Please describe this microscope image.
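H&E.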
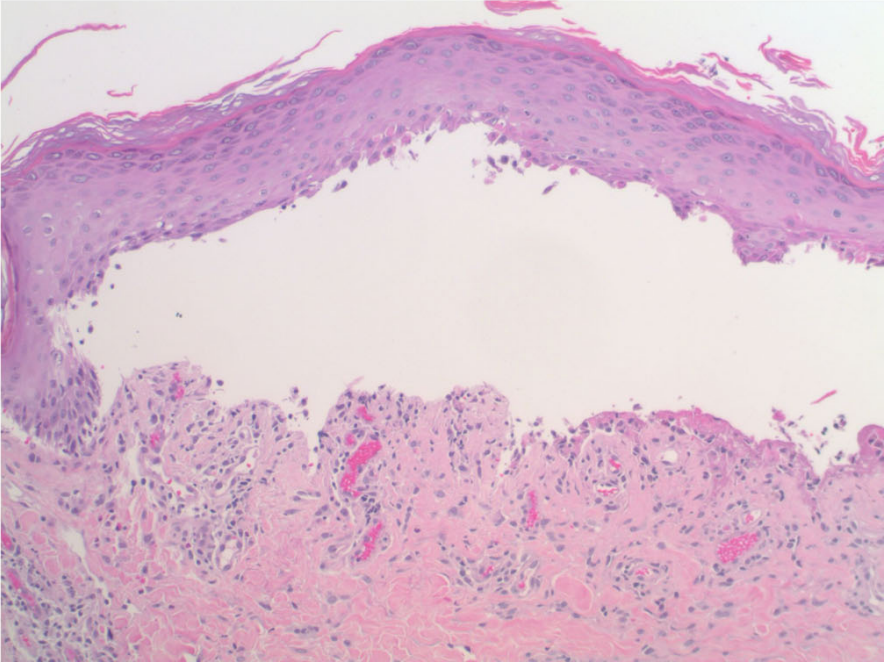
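Skin with a subepidermal blister: the full-thickness epidermis, with pink cornified layer and pale keratinocytes, forms the roof of an empty cleft separated from the dermis. The floor is made of dermal papillae containing small blood vessels filled with red cells, around which lie scattered small dark-nucleated inflammatory cells in a sparse infiltrate. Beneath, the dermis shows pink collagen bundles.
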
